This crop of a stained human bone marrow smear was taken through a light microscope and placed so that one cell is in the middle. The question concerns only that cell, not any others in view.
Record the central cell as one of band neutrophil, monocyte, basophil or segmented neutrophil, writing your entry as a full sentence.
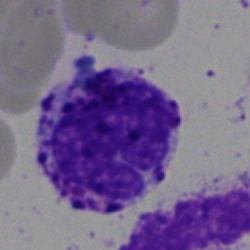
The centrally located cell in the crop is a basophil.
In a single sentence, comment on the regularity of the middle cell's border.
Projections or ragged segments give this cell an irregular rather than smooth border.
